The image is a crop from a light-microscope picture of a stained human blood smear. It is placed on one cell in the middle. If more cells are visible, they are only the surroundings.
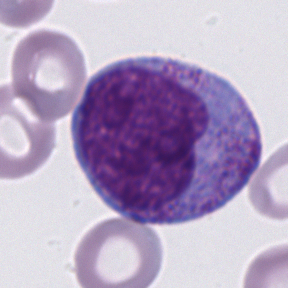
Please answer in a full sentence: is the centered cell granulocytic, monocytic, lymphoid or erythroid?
The cell of interest in the center belongs to the granulocytic lineage.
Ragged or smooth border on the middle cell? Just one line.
Around its whole circumference the outline stays smooth, free of projections.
